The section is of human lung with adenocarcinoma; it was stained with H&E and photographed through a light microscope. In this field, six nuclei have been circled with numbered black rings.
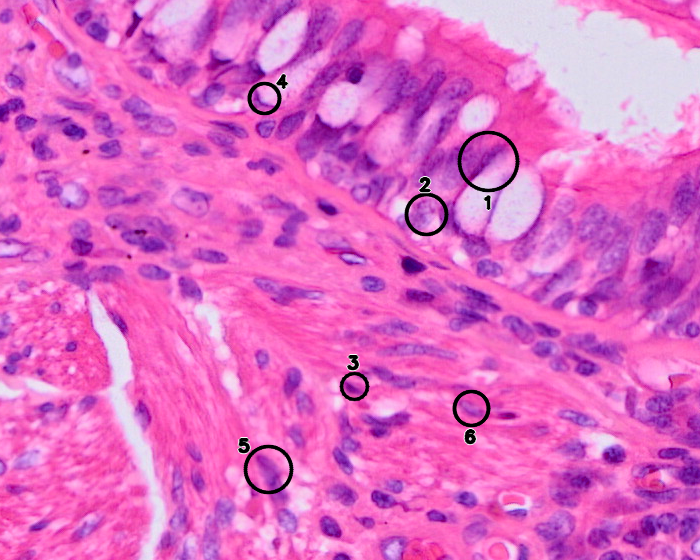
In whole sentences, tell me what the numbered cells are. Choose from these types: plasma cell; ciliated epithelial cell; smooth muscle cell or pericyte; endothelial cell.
Cells 1, 2 and 4 are ciliated epithelial cells. Cells 3, 5 and 6 are smooth muscle cells or pericytes.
